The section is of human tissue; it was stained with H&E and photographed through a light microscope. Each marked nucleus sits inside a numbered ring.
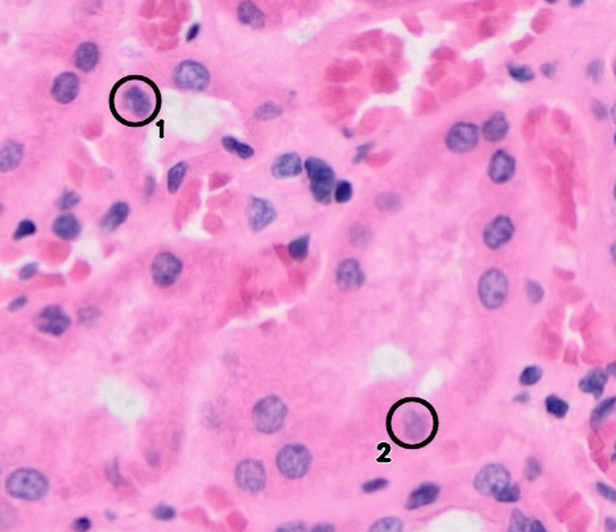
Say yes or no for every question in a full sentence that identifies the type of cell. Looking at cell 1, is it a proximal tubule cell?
No, the cell identified by number 1 is a loop of Henle or distal tubule cell, not a proximal tubule cell.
